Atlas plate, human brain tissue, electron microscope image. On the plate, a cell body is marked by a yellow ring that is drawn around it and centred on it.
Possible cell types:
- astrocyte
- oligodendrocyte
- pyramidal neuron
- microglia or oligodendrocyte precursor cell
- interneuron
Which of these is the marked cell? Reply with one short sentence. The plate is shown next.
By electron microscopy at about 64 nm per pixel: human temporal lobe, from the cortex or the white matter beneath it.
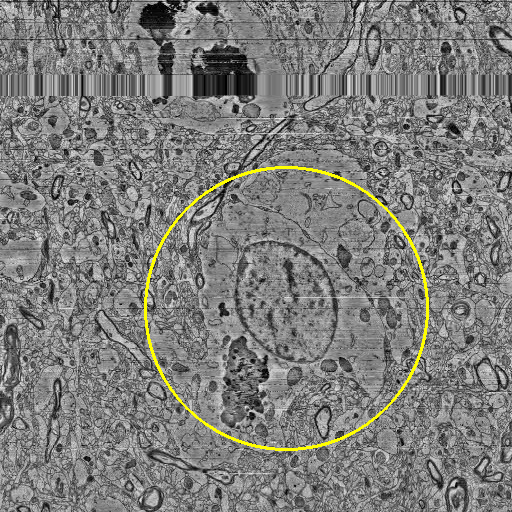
The marked cell is an astrocyte.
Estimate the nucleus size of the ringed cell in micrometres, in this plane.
In this plane, roughly 9 by 6 micrometres.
